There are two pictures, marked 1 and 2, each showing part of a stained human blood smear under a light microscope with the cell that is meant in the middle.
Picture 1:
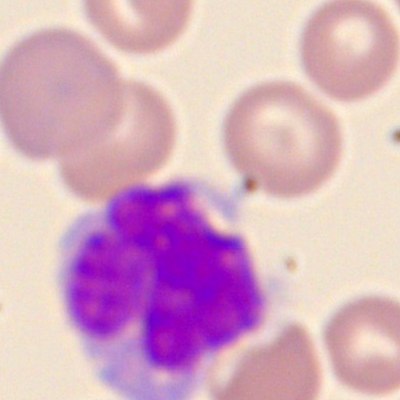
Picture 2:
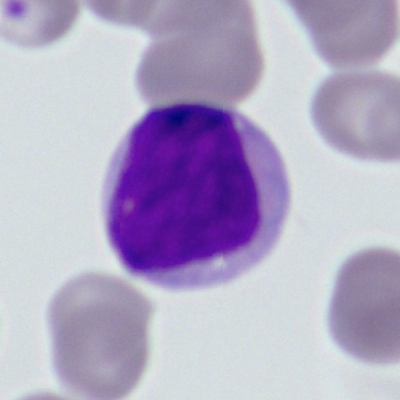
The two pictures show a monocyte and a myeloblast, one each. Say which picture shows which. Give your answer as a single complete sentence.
Picture 1 shows a monocyte and picture 2 shows a myeloblast.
